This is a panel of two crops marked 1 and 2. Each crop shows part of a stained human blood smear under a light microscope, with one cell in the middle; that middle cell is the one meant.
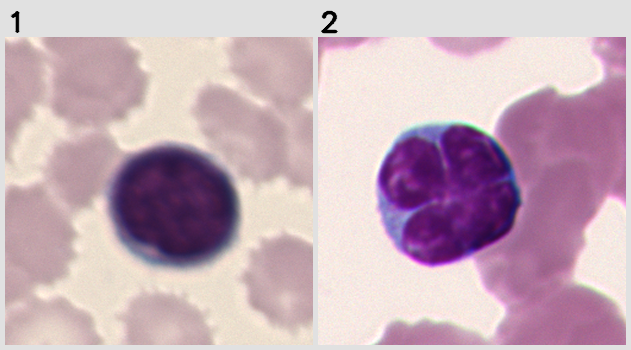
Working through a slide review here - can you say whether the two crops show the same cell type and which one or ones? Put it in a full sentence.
Yes, at the centre of both crops are typical lymphocytes.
